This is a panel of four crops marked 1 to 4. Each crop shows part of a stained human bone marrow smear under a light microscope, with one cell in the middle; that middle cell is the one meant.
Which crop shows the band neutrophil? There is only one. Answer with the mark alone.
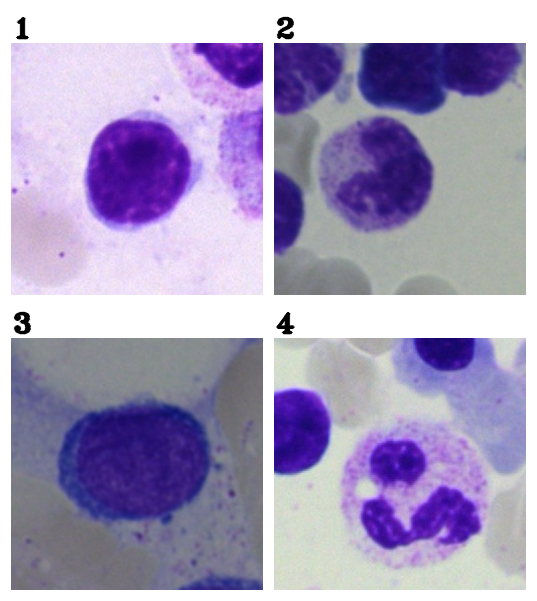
2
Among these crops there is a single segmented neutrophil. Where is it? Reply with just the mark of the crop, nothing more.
4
